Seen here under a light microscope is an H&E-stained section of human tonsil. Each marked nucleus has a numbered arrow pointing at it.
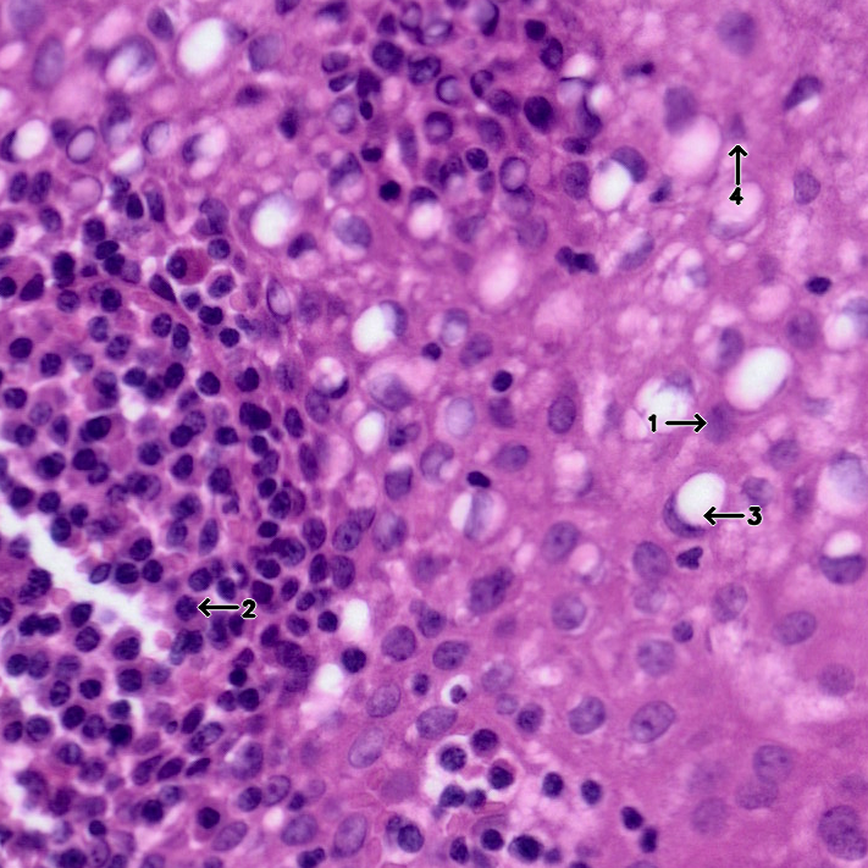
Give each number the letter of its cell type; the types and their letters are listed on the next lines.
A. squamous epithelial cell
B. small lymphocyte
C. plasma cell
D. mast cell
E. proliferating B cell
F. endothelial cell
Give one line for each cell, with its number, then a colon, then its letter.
1: A
2: C
3: A
4: A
